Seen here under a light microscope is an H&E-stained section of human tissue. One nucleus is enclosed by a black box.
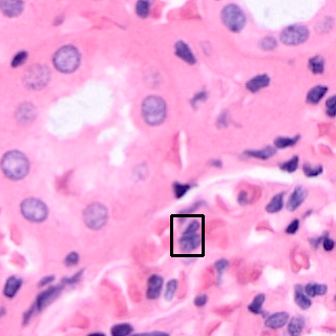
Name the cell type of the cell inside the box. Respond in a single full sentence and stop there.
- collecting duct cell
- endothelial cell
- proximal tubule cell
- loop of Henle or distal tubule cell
In the stained section, the cell inside the box is an endothelial cell.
